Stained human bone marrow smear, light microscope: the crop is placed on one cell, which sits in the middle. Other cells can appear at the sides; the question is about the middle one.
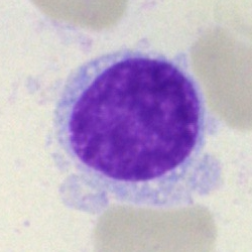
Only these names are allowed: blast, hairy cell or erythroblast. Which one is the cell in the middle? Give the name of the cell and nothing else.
hairy cell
